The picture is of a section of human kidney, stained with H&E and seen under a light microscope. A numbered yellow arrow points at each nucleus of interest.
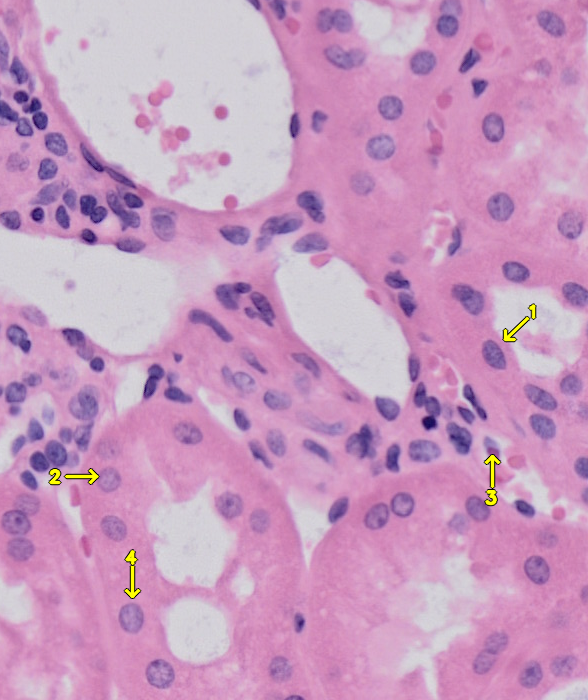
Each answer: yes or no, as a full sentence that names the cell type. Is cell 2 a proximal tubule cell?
Yes, the cell at the mark numbered 2 is a proximal tubule cell.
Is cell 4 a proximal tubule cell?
Yes, with respect to number 4, the cell is a proximal tubule cell.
